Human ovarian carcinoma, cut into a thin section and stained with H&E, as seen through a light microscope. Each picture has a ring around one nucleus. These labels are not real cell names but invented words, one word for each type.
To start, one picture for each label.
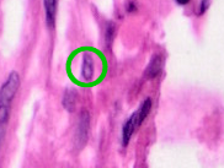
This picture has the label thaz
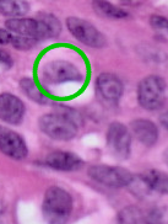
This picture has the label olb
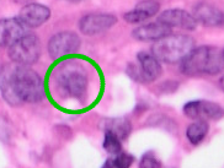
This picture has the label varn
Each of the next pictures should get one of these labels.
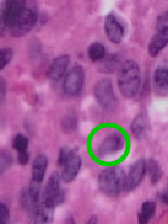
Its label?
varn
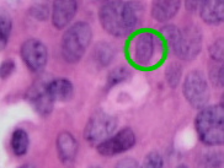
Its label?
varn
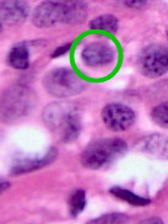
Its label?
olb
